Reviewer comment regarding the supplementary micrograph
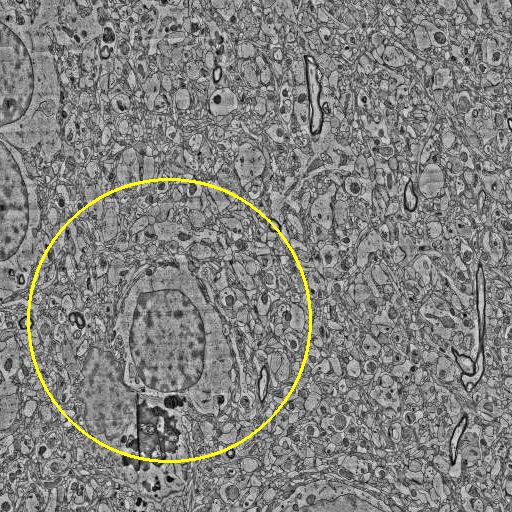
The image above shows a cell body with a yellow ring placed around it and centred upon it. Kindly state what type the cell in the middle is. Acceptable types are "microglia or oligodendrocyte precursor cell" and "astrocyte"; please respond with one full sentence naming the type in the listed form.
In the image above, the cell on which the yellow ring is centred is an astrocyte.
